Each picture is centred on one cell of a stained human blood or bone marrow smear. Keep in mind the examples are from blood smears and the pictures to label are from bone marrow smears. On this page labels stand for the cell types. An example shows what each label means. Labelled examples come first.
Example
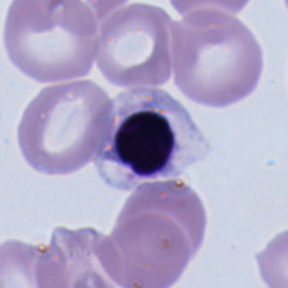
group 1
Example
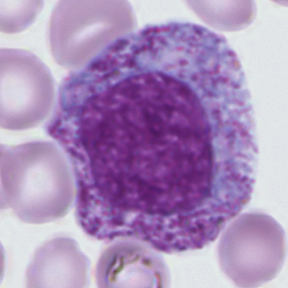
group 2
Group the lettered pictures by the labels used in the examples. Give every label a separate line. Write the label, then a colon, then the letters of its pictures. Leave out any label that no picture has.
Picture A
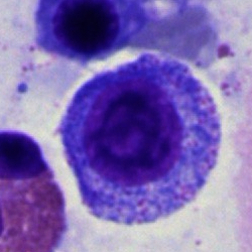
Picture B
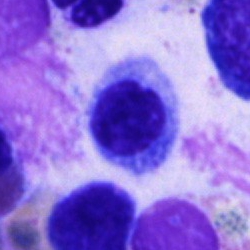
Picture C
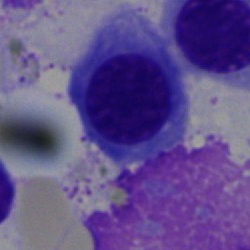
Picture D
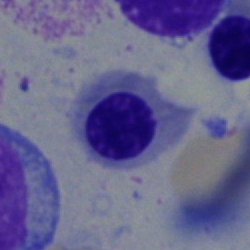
group 1: B, C, D
group 2: A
